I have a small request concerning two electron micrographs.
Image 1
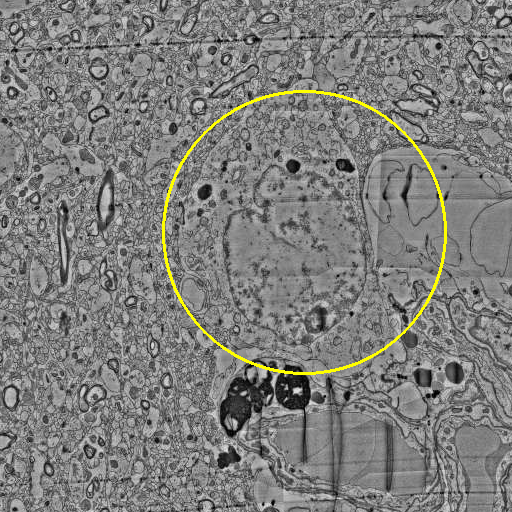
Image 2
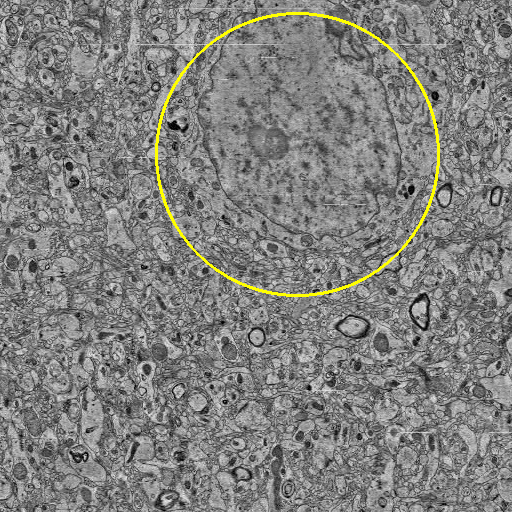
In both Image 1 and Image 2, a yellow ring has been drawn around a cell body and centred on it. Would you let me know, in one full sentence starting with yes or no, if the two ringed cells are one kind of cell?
Yes, the cells ringed in Image 1 and Image 2 are one kind of cell.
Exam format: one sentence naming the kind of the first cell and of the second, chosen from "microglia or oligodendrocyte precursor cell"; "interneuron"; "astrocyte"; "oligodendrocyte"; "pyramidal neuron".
The first and the second cell are each an interneuron.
